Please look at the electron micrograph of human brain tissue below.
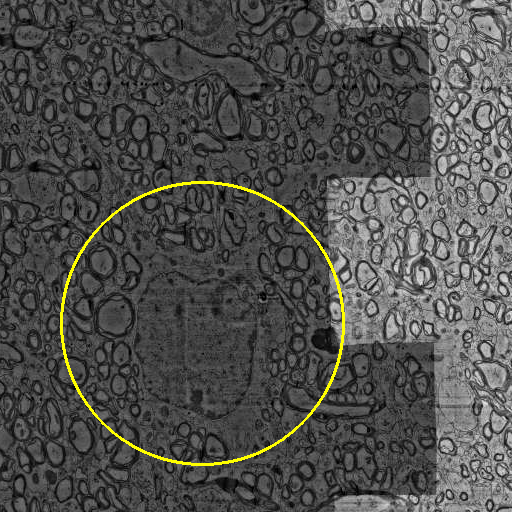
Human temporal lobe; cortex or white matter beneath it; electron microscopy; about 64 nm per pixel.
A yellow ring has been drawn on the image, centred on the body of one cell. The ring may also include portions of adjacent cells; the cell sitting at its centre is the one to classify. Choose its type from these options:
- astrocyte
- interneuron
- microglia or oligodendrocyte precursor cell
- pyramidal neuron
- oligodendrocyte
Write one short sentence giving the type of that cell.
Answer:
The cell in the middle of the ring is an astrocyte.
